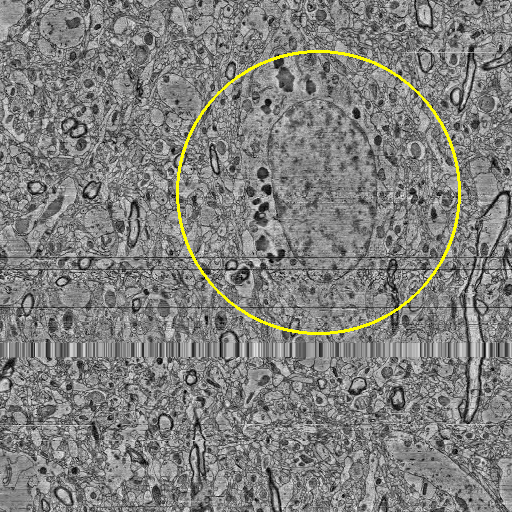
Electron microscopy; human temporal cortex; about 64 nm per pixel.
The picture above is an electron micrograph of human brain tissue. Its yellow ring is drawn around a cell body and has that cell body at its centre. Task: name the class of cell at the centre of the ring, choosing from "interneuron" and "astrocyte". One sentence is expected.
The ring surrounds the body of an interneuron.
